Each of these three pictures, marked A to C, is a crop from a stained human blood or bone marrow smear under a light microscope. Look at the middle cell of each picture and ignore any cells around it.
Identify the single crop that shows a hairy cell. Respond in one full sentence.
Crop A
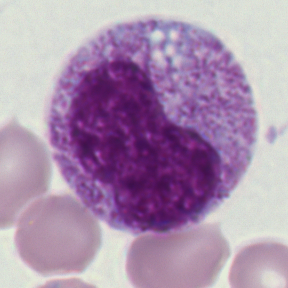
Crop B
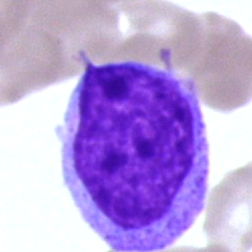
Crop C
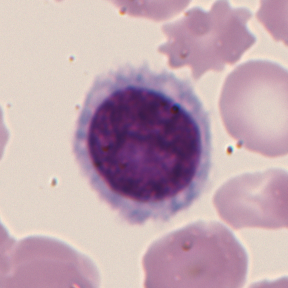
In this series, a hairy cell is shown by crop C.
